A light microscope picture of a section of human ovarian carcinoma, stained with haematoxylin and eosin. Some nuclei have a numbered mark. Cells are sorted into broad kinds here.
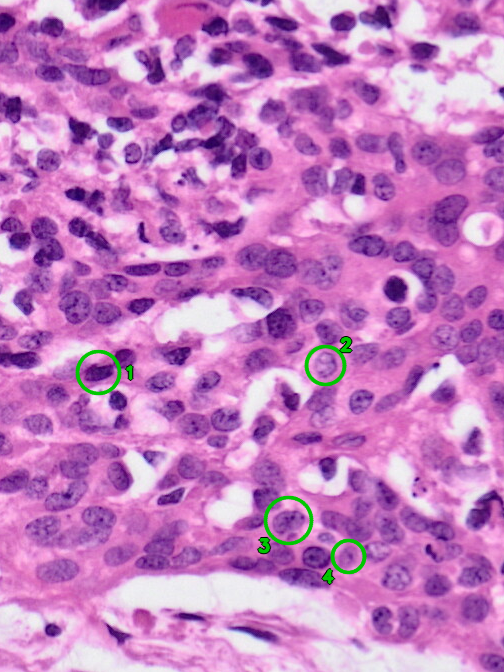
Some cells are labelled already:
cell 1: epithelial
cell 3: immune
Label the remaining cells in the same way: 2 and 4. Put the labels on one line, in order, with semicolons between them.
immune; epithelial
